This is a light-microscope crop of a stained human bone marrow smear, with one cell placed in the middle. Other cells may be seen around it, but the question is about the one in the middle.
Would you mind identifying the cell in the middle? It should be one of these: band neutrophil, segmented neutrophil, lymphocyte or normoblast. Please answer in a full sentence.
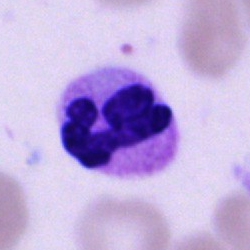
The cell nearest the centre of this crop is a segmented neutrophil.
